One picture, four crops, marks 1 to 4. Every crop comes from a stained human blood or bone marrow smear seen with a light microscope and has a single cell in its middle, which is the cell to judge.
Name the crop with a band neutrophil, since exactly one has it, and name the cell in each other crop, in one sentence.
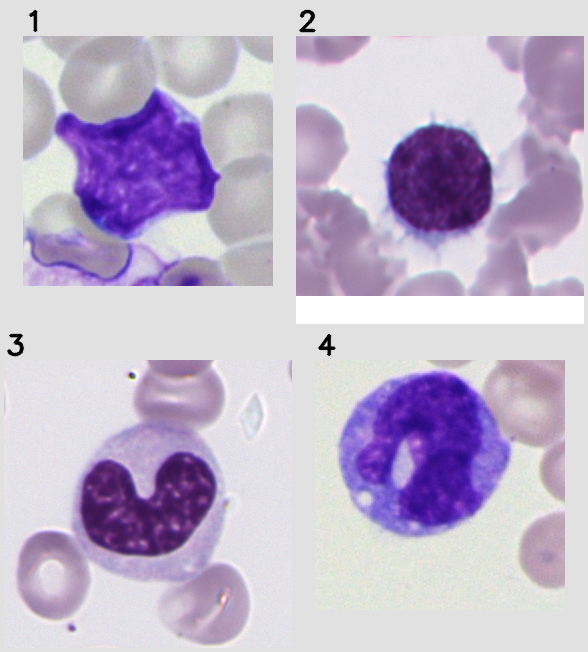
Crop 3 is identified as a band neutrophil, whereas crop 1 is a blast, crop 2 is a hairy cell and crop 4 is a monocyte.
